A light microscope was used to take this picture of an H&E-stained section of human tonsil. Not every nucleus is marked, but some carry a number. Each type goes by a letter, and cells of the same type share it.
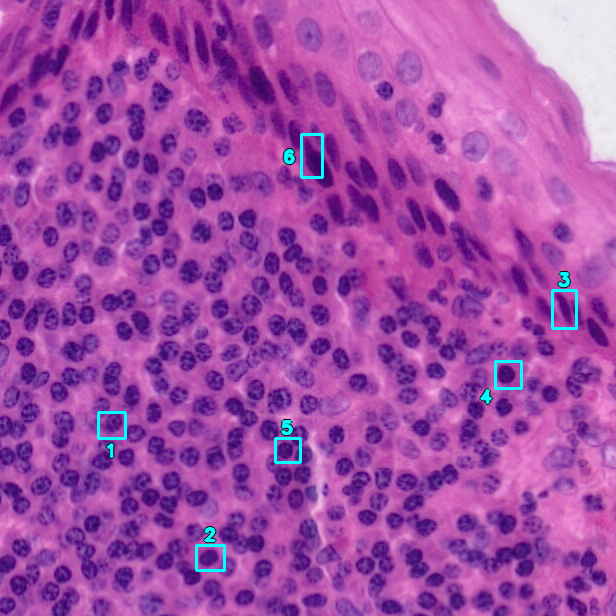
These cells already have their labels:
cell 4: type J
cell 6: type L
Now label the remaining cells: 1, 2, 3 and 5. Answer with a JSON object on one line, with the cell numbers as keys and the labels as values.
{"1": "type J", "2": "type J", "3": "type L", "5": "type J"}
